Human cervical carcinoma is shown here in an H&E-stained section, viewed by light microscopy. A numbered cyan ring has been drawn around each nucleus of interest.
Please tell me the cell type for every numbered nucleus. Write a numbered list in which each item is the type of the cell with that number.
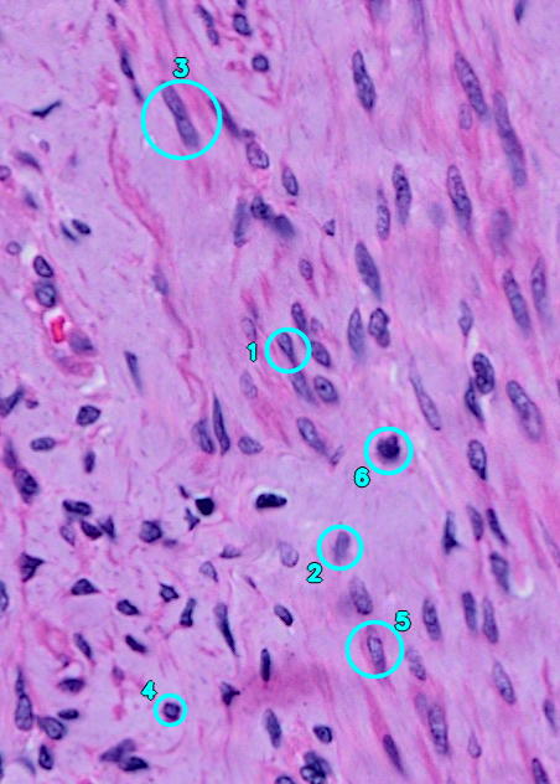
1. smooth muscle cell
2. fibroblast
3. smooth muscle cell
4. smooth muscle cell
5. smooth muscle cell
6. lymphocyte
